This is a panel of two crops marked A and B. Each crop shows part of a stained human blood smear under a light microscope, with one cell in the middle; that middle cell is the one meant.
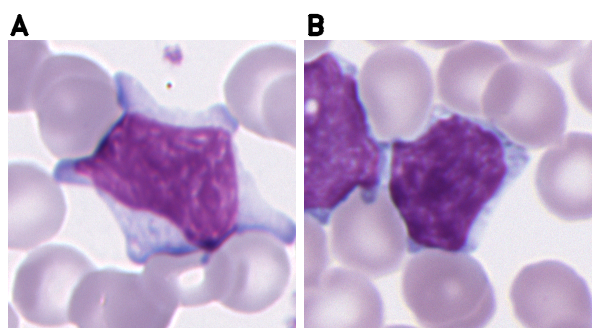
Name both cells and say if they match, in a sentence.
Yes, both crops, not just one, show typical lymphocytes.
